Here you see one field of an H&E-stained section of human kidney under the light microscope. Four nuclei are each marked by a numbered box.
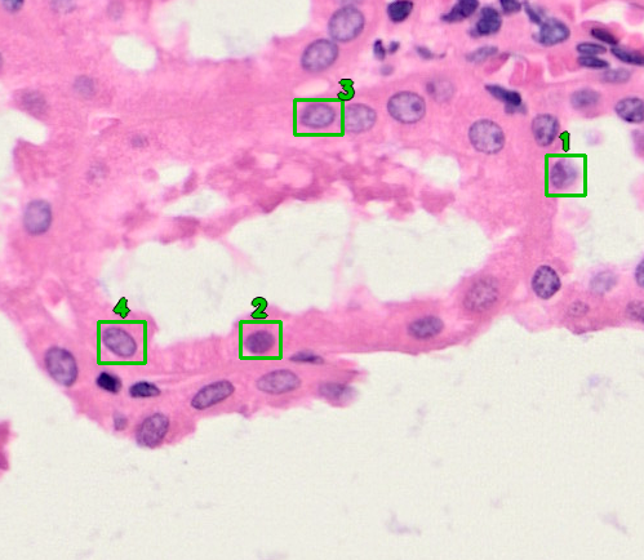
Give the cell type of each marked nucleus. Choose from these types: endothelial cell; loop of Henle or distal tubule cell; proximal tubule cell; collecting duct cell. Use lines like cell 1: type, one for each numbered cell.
cell 1: loop of Henle or distal tubule cell
cell 2: proximal tubule cell
cell 3: proximal tubule cell
cell 4: proximal tubule cell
